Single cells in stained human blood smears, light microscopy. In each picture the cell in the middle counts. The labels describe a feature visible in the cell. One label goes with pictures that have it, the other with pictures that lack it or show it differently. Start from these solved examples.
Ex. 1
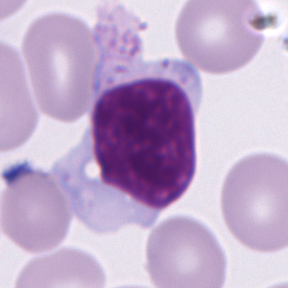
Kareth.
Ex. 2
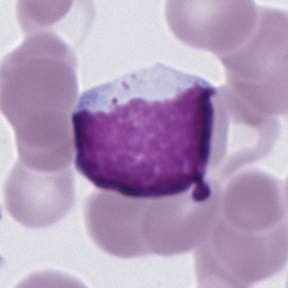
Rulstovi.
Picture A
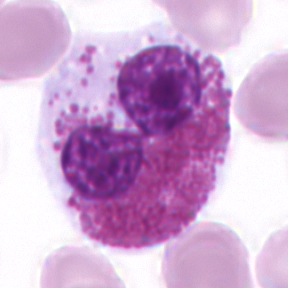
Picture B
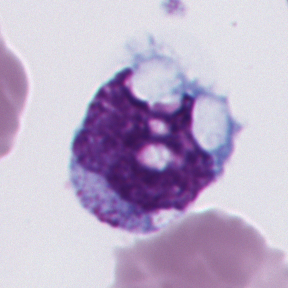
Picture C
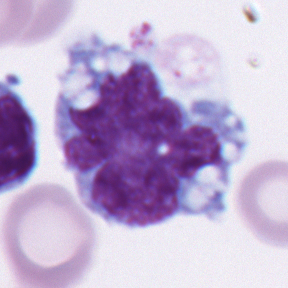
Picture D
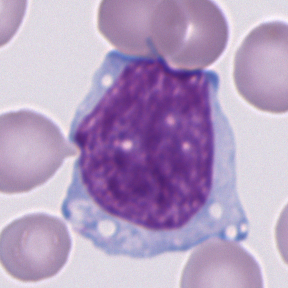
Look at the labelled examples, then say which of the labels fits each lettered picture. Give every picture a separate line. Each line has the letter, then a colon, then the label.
A: Rulstovi.
B: Kareth.
C: Kareth.
D: Kareth.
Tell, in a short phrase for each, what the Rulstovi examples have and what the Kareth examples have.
In Rulstovi: no vacuoles. In Kareth: vacuoles present.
